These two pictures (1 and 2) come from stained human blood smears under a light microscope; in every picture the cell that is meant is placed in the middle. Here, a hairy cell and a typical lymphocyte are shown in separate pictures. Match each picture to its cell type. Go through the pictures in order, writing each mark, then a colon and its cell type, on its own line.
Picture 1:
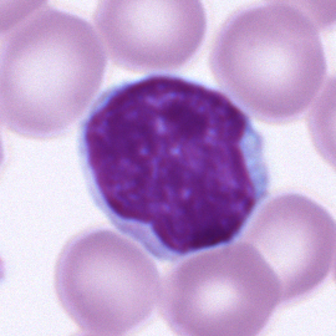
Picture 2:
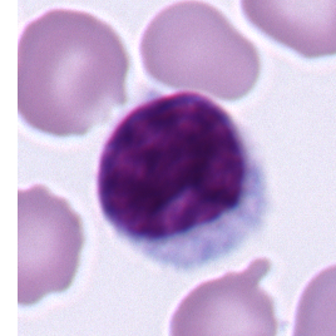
1: typical lymphocyte
2: hairy cell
